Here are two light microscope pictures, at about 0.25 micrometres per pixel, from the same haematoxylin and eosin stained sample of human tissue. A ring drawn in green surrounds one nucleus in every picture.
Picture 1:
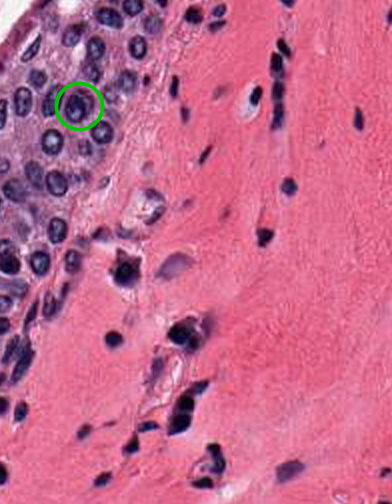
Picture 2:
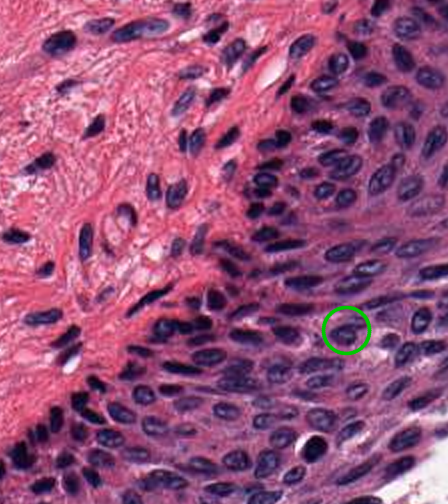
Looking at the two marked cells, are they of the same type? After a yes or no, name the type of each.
Yes, both are squamous epithelial cells.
